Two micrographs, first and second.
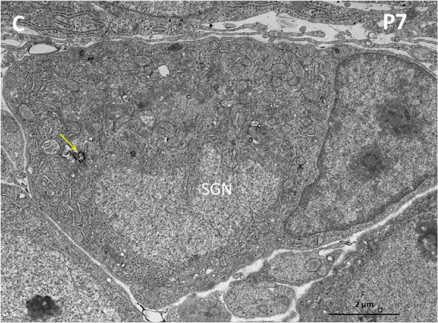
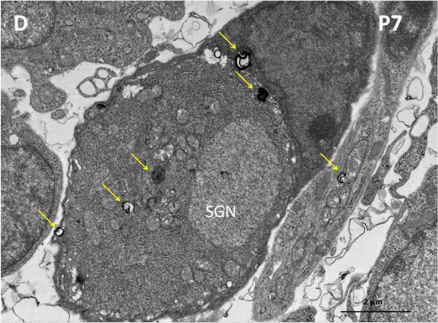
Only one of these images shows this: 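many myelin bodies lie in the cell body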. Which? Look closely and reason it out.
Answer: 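The second image. Second image: several dense lamellar bodies are scattered through the cytoplasm and cell margin. First image: only one small dense body is seen in the cytoplasm.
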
